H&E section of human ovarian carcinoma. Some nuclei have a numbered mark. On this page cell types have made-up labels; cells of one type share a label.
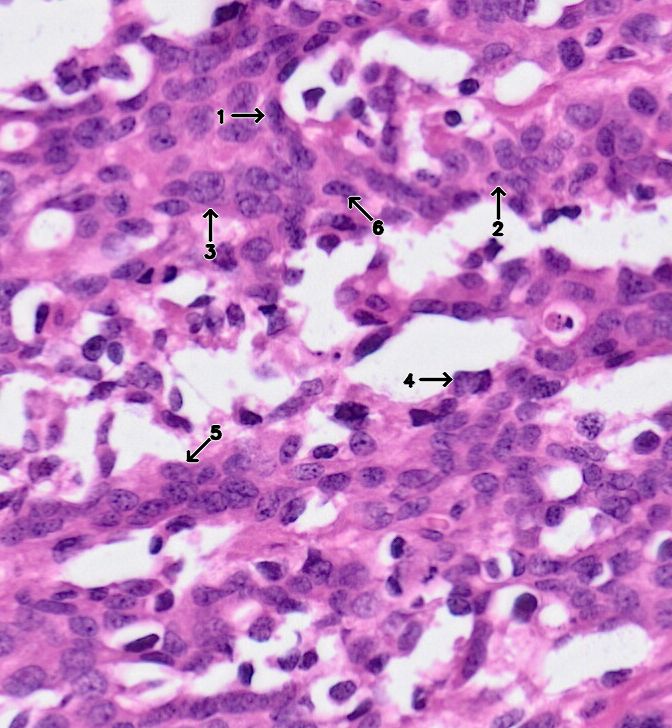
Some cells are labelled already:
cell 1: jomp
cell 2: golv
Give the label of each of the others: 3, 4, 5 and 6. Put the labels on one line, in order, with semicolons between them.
jomp; jomp; jomp; golv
